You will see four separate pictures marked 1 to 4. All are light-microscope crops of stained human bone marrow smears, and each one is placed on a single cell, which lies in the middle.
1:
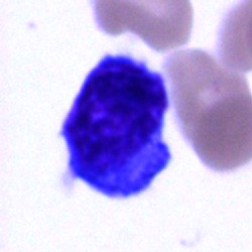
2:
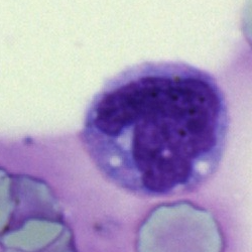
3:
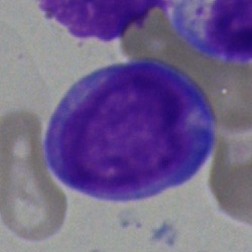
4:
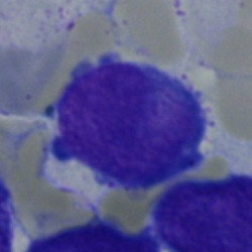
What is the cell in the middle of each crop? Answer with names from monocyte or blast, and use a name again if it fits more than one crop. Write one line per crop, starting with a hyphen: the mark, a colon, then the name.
- 1: blast
- 2: monocyte
- 3: blast
- 4: blast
